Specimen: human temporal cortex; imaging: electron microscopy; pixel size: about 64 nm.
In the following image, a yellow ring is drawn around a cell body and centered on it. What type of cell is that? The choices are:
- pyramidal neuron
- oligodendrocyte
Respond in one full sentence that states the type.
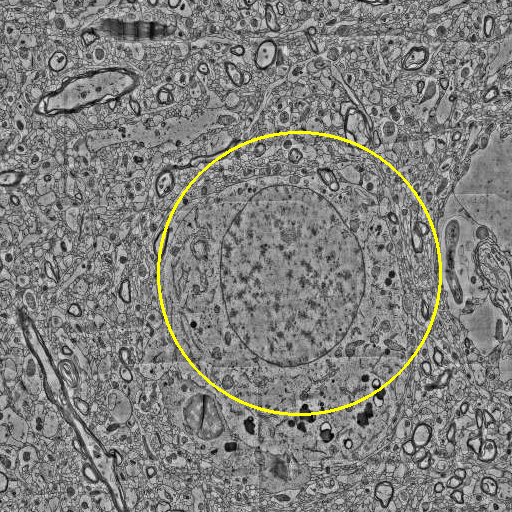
The cell at the center of the yellow ring in the image is a pyramidal neuron.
